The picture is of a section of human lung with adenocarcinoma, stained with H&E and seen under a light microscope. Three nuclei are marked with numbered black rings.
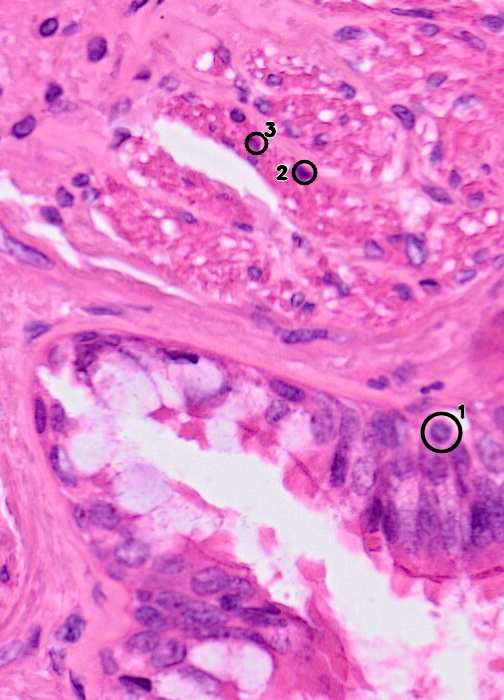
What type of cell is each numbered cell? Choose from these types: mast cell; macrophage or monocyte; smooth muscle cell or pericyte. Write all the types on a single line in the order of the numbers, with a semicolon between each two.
mast cell; smooth muscle cell or pericyte; smooth muscle cell or pericyte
